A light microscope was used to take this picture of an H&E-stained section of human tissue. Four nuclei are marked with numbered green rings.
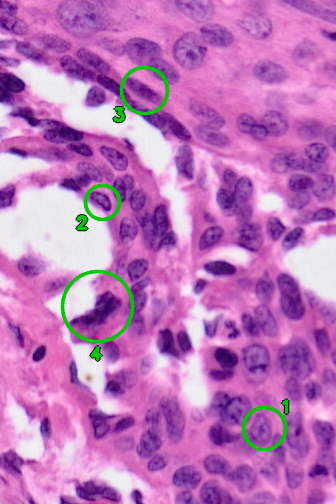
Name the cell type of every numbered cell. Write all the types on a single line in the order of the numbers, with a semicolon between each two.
carcinoma cell; macrophage or monocyte; carcinoma cell; carcinoma cell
